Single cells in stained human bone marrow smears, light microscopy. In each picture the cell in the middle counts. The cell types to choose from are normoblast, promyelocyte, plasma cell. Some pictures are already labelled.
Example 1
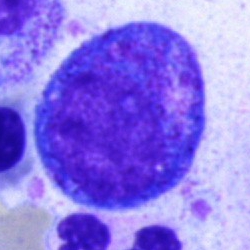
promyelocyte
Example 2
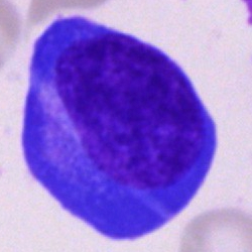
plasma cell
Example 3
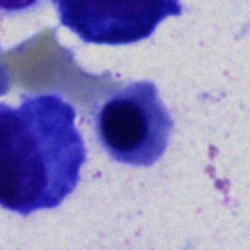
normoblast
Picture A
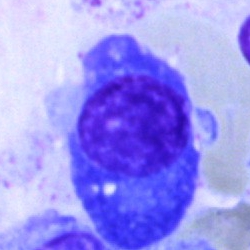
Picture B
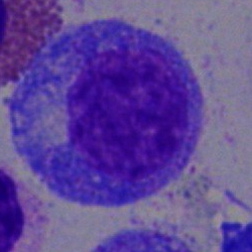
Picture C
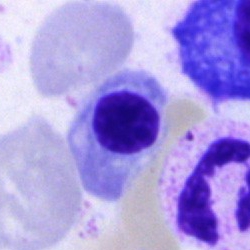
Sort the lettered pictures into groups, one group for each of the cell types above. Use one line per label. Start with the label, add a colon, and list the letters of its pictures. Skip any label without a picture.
normoblast: C
promyelocyte: B
plasma cell: A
